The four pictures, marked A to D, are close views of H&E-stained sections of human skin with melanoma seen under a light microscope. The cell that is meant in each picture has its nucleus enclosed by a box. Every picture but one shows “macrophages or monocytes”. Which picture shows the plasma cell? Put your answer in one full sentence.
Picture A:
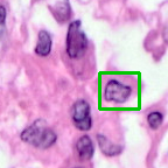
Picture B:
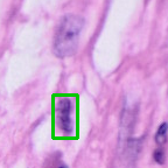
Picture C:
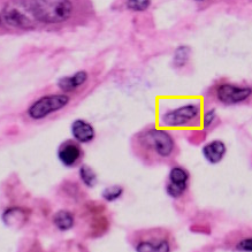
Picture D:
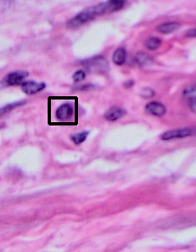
The plasma cell is the one in picture D.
